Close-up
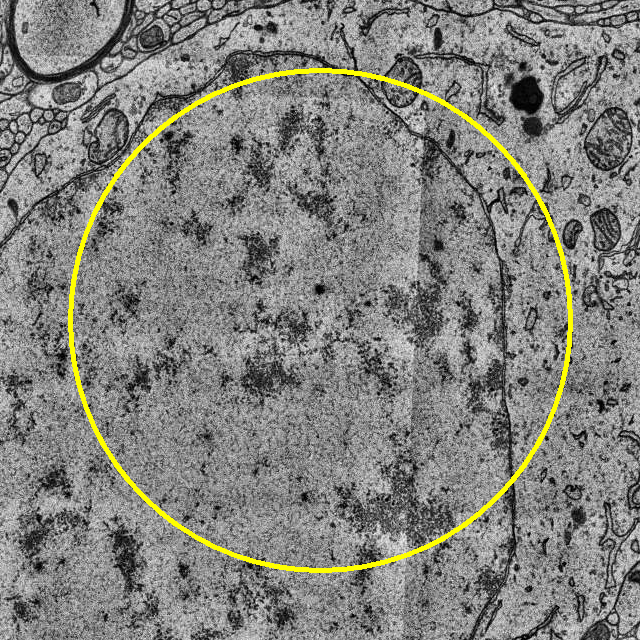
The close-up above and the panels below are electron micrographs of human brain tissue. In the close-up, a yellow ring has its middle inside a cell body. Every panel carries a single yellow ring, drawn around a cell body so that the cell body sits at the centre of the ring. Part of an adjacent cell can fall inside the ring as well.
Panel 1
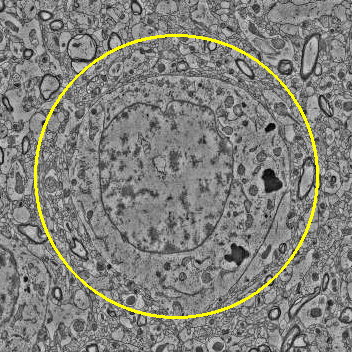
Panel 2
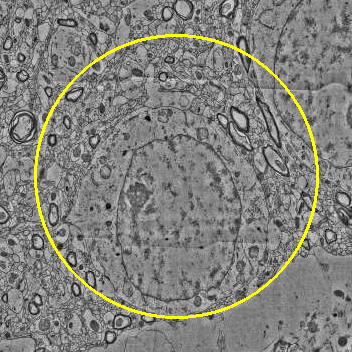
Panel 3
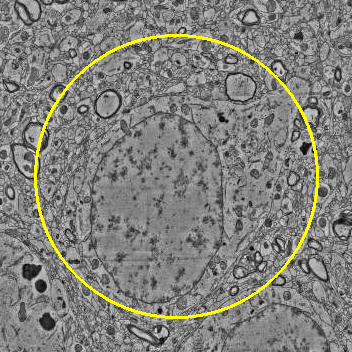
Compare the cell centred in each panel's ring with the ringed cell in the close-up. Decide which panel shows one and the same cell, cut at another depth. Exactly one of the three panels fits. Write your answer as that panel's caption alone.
Panel 3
